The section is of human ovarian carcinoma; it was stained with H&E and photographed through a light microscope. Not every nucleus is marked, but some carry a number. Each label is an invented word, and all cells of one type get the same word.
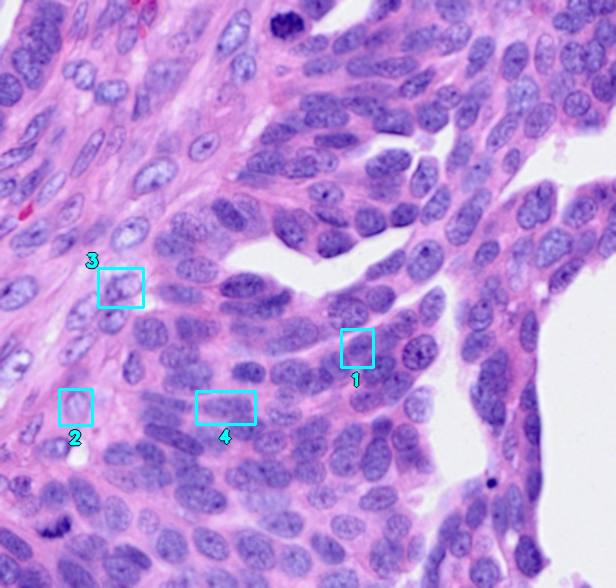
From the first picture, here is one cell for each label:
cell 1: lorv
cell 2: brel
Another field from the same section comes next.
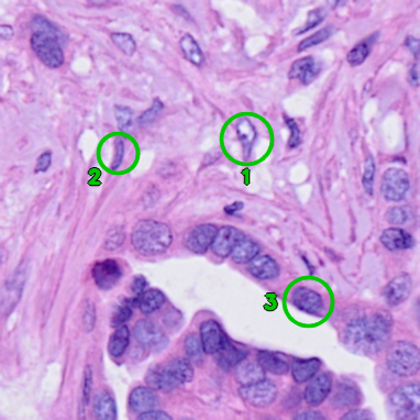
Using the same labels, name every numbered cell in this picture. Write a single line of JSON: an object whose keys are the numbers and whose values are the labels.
{"1": "brel", "2": "brel", "3": "lorv"}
